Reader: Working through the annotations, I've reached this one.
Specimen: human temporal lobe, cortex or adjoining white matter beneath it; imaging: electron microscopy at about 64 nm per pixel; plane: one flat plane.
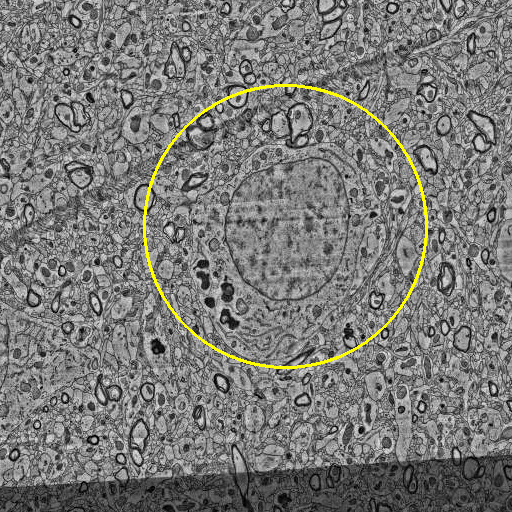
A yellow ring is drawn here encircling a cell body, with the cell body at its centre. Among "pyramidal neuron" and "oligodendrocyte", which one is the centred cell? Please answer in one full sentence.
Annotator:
The cell body at the centre of the yellow ring in this image belongs to a pyramidal neuron.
